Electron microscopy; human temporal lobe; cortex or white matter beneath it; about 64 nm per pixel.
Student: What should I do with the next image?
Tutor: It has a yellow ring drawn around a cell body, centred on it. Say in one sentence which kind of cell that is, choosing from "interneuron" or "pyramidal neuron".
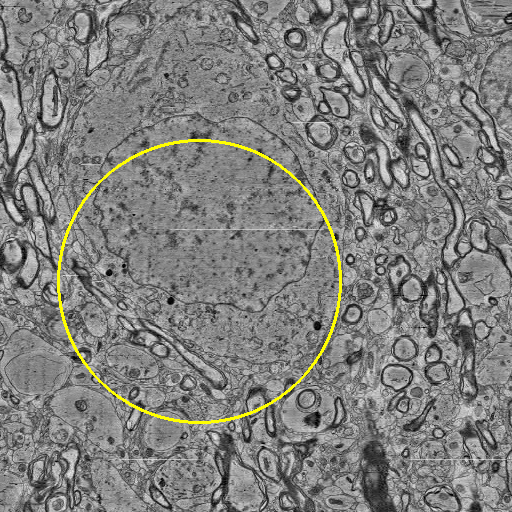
The ring's centre is occupied by a pyramidal neuron.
